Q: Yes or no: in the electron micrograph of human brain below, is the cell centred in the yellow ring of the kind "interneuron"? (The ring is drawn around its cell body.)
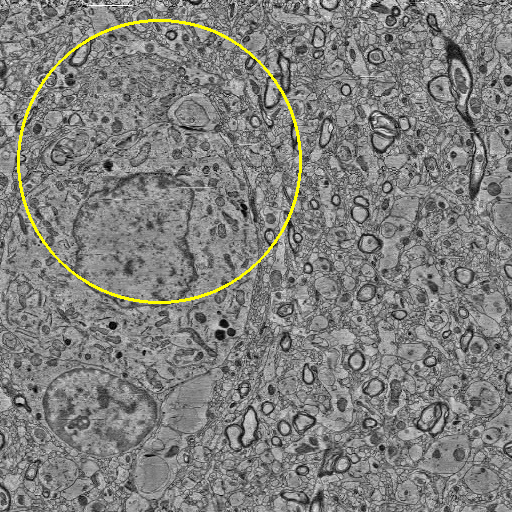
yes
